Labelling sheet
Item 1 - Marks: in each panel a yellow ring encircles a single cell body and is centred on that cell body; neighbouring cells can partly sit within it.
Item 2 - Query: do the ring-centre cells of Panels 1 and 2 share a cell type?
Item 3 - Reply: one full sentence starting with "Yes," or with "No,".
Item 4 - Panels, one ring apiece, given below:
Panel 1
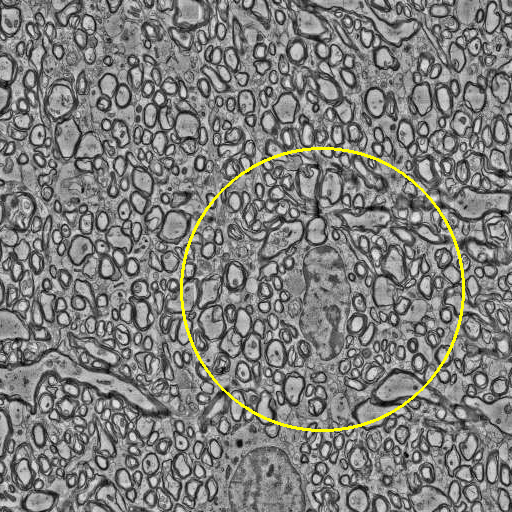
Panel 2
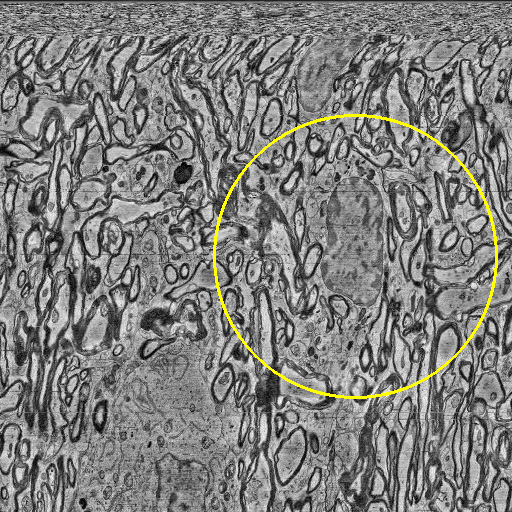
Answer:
Yes, Panel 1 and Panel 2 show one cell type at the centres of their rings.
